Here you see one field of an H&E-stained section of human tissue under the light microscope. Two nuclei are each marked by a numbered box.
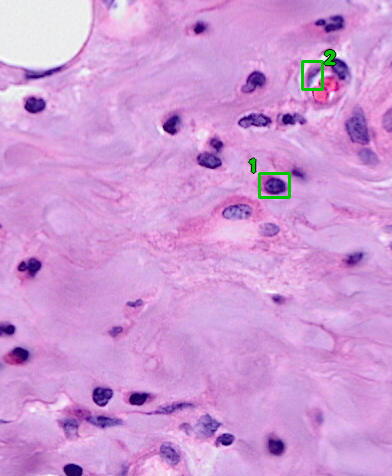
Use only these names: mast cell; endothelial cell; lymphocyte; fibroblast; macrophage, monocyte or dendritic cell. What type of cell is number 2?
endothelial cell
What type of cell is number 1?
mast cell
